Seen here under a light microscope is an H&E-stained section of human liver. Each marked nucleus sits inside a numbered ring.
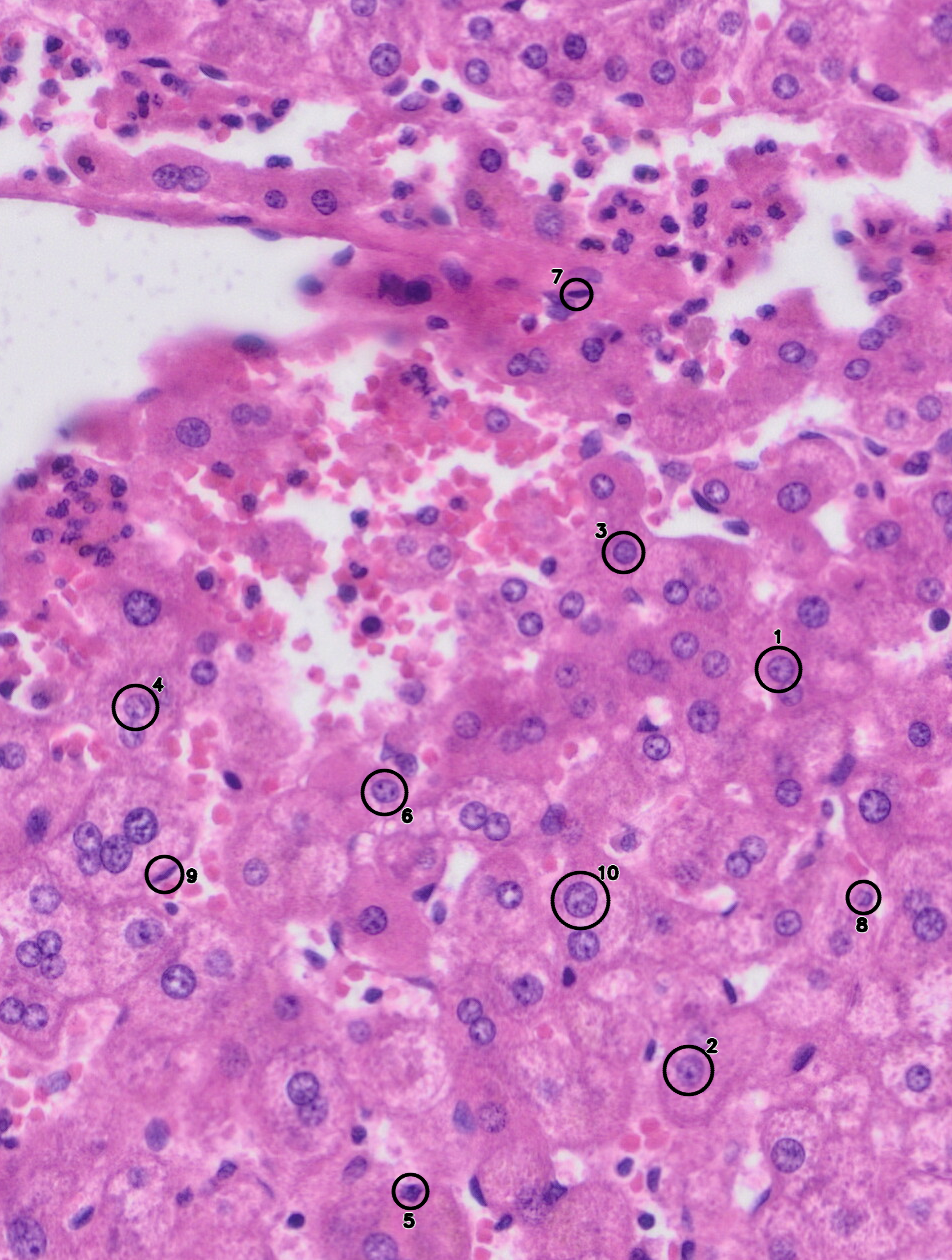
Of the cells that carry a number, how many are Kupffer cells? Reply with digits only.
1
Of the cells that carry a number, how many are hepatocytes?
6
